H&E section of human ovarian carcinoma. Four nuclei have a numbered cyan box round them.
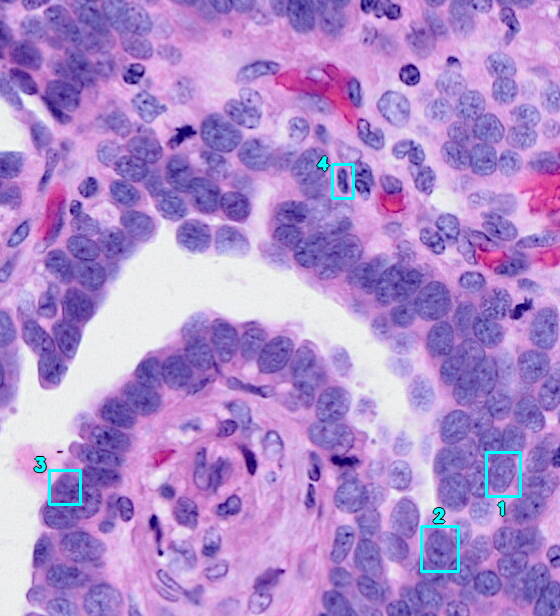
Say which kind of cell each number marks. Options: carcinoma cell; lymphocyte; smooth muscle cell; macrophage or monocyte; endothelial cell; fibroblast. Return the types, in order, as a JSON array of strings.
["carcinoma cell", "carcinoma cell", "carcinoma cell", "lymphocyte"]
